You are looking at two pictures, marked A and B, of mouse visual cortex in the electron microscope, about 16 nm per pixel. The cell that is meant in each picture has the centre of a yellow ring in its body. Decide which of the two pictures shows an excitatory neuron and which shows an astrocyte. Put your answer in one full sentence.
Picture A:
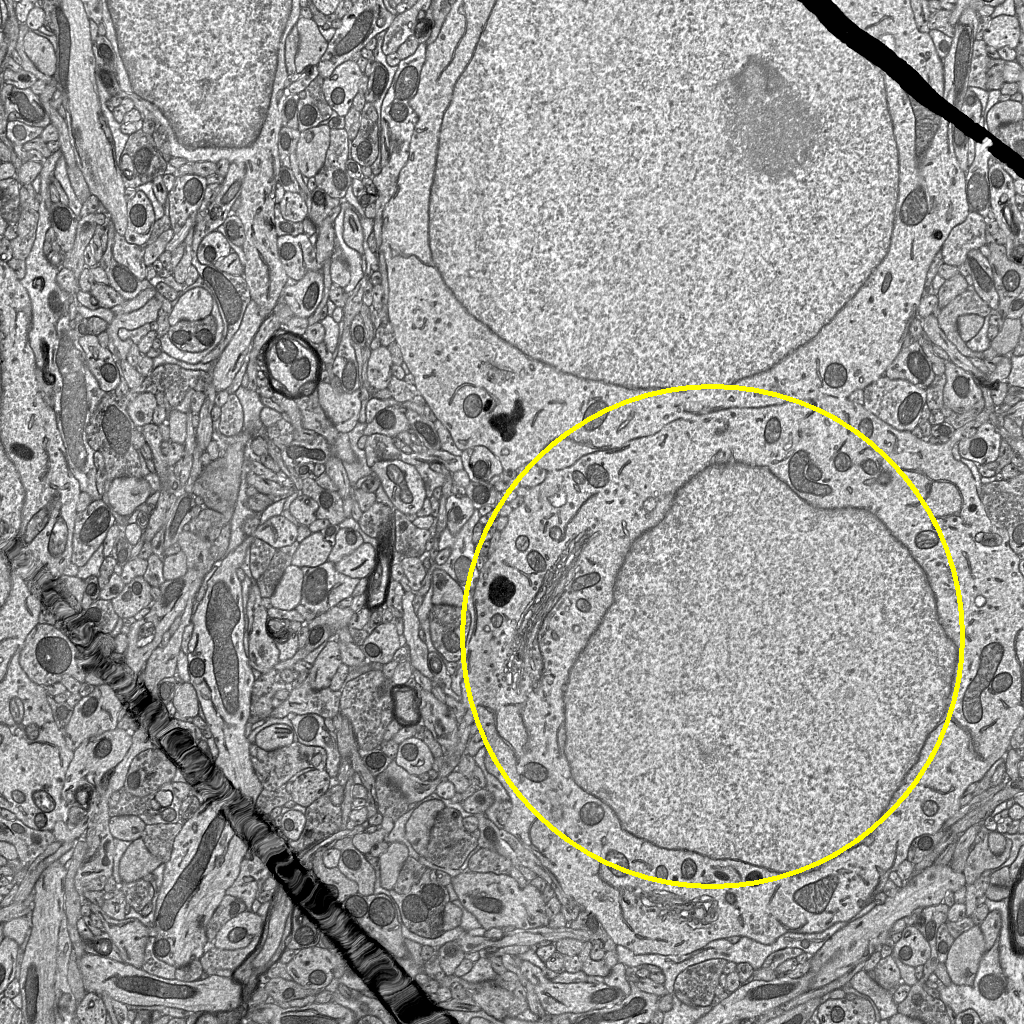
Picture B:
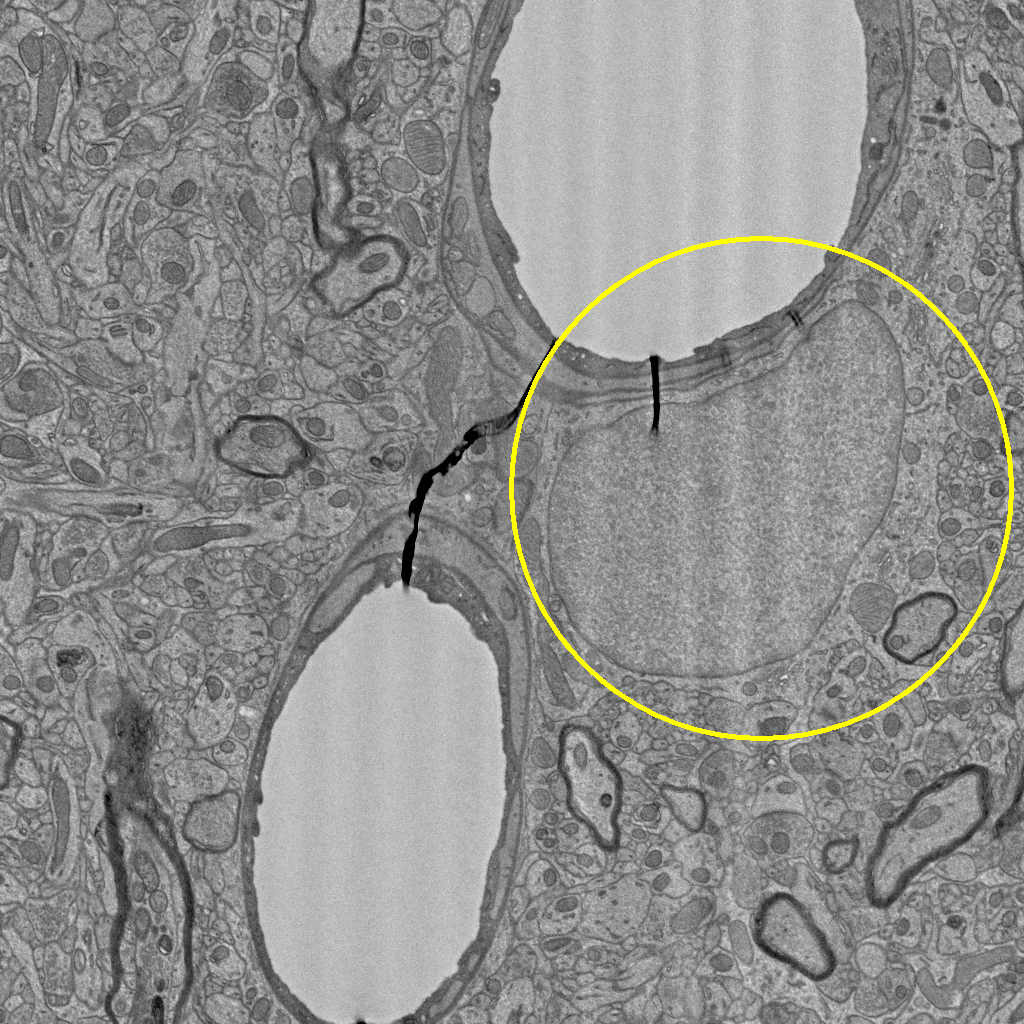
The cell in picture A is an excitatory neuron, and the one in picture B is an astrocyte.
